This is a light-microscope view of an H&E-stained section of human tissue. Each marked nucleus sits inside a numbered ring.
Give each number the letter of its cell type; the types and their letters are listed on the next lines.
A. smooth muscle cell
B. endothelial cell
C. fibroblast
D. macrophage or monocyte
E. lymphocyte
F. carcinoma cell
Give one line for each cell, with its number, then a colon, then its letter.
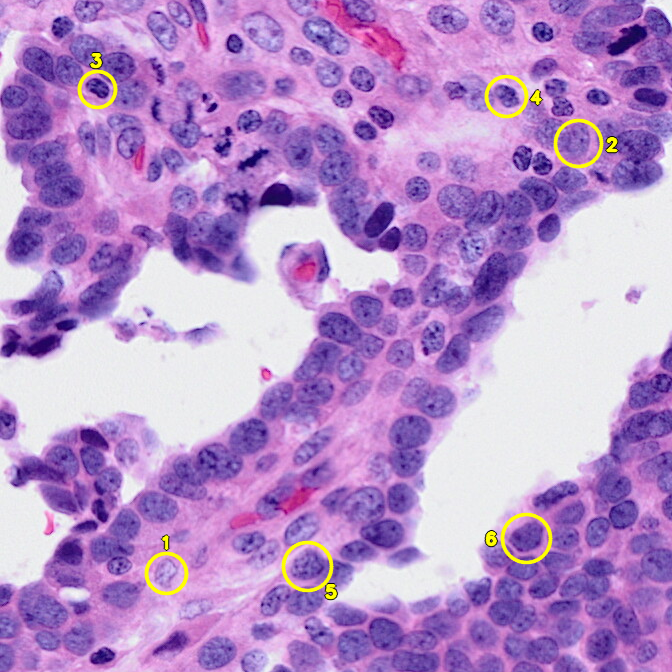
1: C
2: F
3: E
4: E
5: F
6: F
